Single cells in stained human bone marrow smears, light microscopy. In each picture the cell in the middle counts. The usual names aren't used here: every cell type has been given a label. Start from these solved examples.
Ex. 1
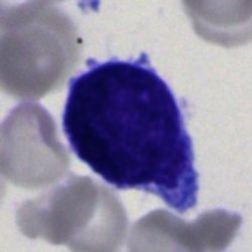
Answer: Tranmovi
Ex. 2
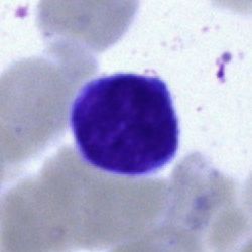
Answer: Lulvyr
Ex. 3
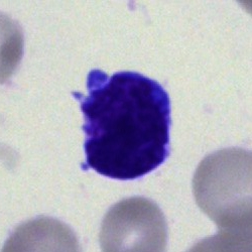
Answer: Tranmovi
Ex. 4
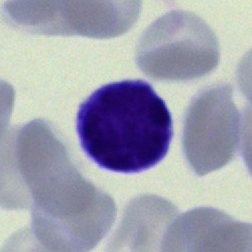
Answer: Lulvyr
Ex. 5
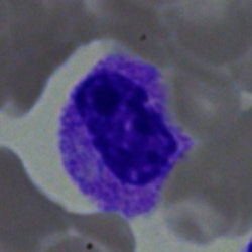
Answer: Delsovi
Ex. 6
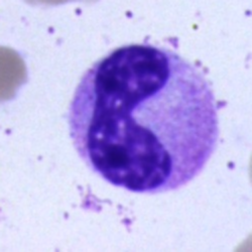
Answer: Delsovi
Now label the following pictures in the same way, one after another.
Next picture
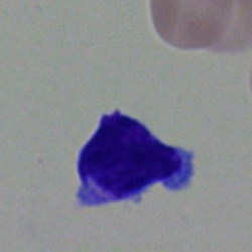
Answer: Lulvyr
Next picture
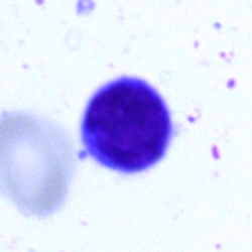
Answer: Lulvyr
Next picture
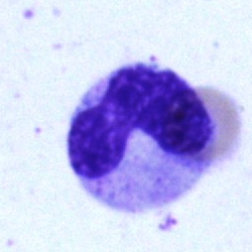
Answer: Delsovi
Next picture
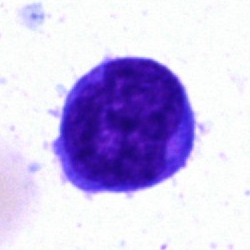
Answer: Tranmovi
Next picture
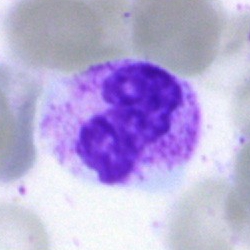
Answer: Delsovi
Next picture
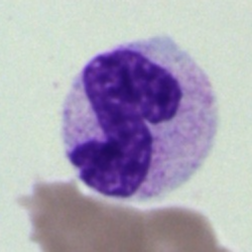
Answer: Delsovi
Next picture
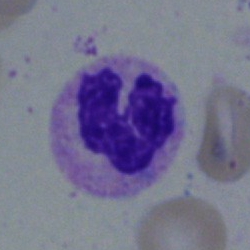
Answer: Delsovi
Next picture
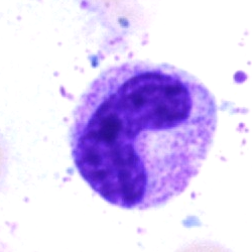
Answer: Delsovi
